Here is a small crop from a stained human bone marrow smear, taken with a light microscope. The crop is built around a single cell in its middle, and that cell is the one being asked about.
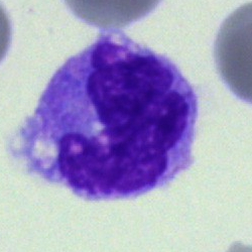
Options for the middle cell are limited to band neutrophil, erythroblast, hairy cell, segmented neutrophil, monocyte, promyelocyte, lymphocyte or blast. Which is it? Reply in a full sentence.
Within this crop, a monocyte occupies the central position.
